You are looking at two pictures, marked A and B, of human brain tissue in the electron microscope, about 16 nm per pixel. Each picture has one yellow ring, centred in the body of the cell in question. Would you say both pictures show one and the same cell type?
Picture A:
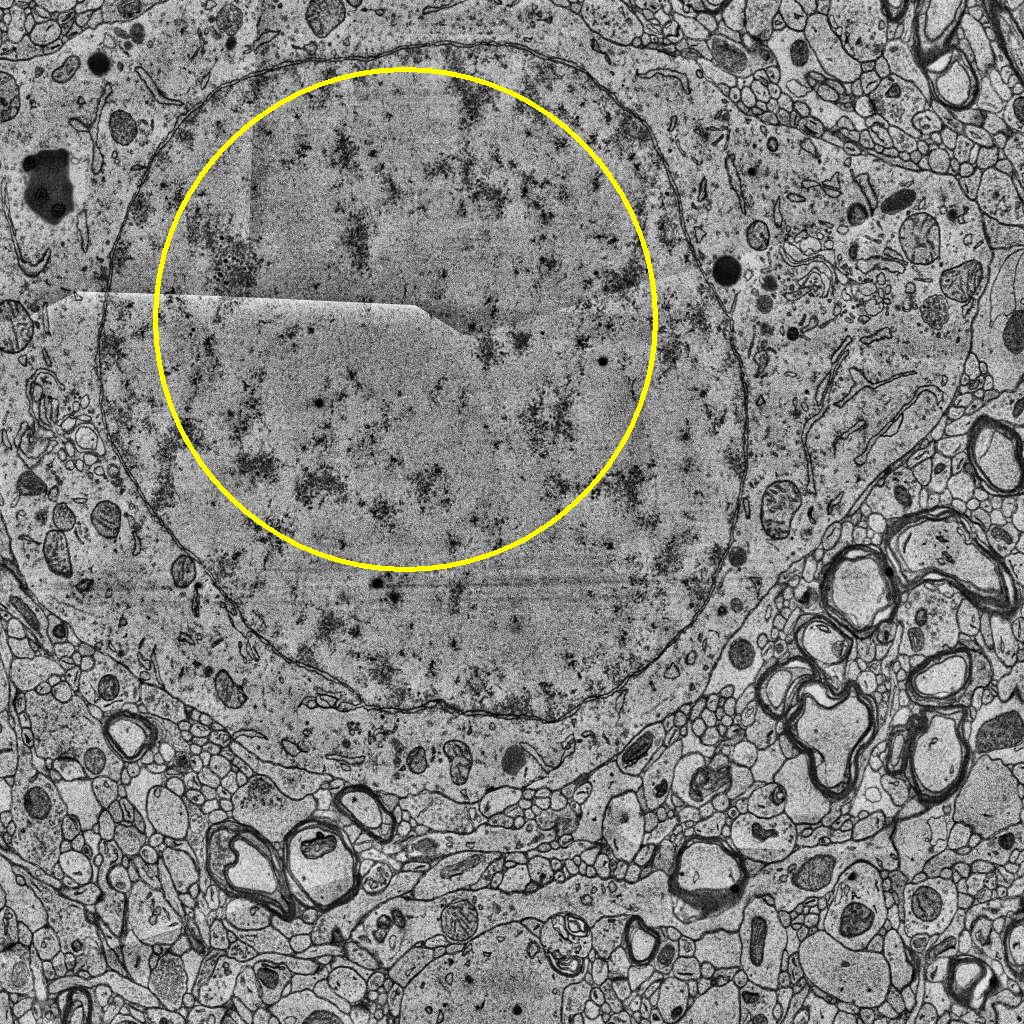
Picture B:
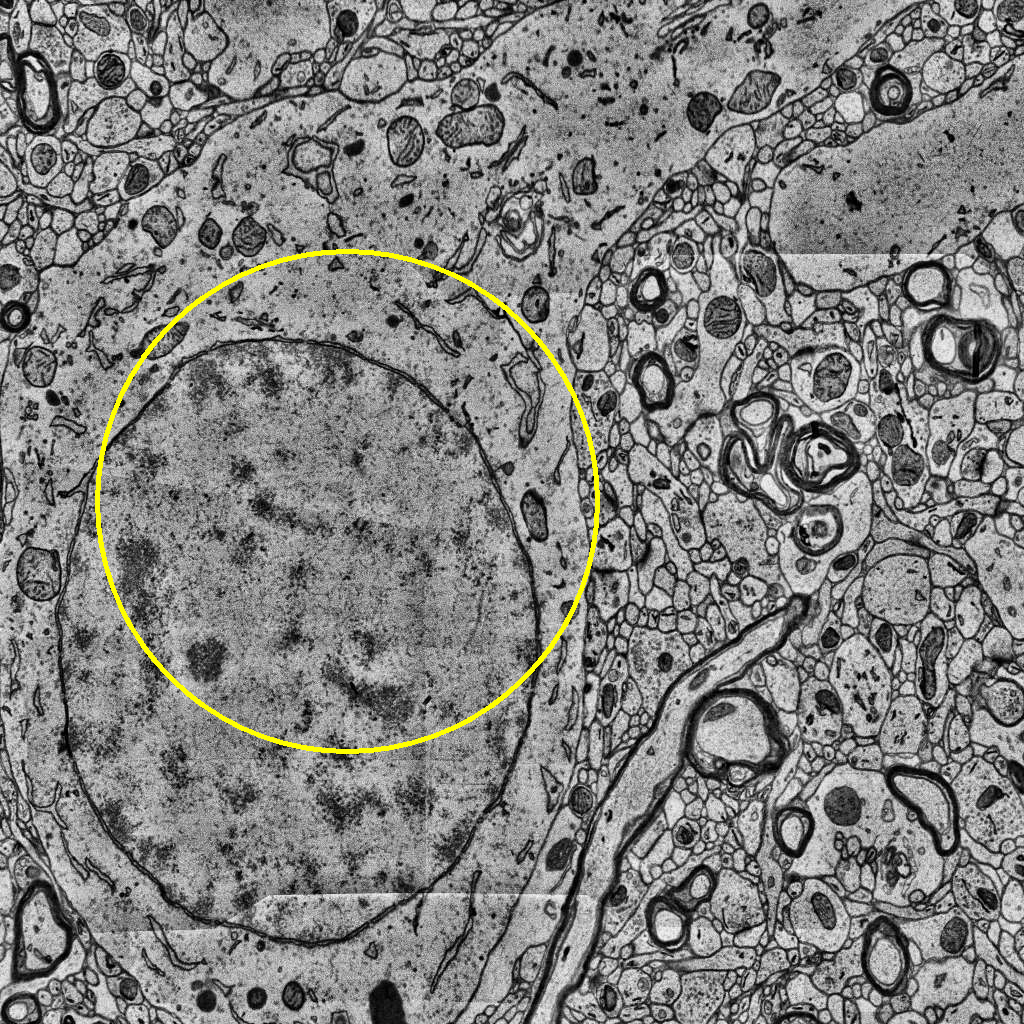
Yes, both cells are pyramidal neurons.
